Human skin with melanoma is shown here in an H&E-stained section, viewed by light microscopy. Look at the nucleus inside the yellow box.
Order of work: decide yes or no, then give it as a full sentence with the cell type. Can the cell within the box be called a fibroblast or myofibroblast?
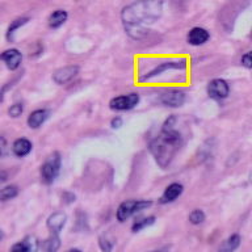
Yes, the cell within the box is accurately described as a fibroblast or myofibroblast.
